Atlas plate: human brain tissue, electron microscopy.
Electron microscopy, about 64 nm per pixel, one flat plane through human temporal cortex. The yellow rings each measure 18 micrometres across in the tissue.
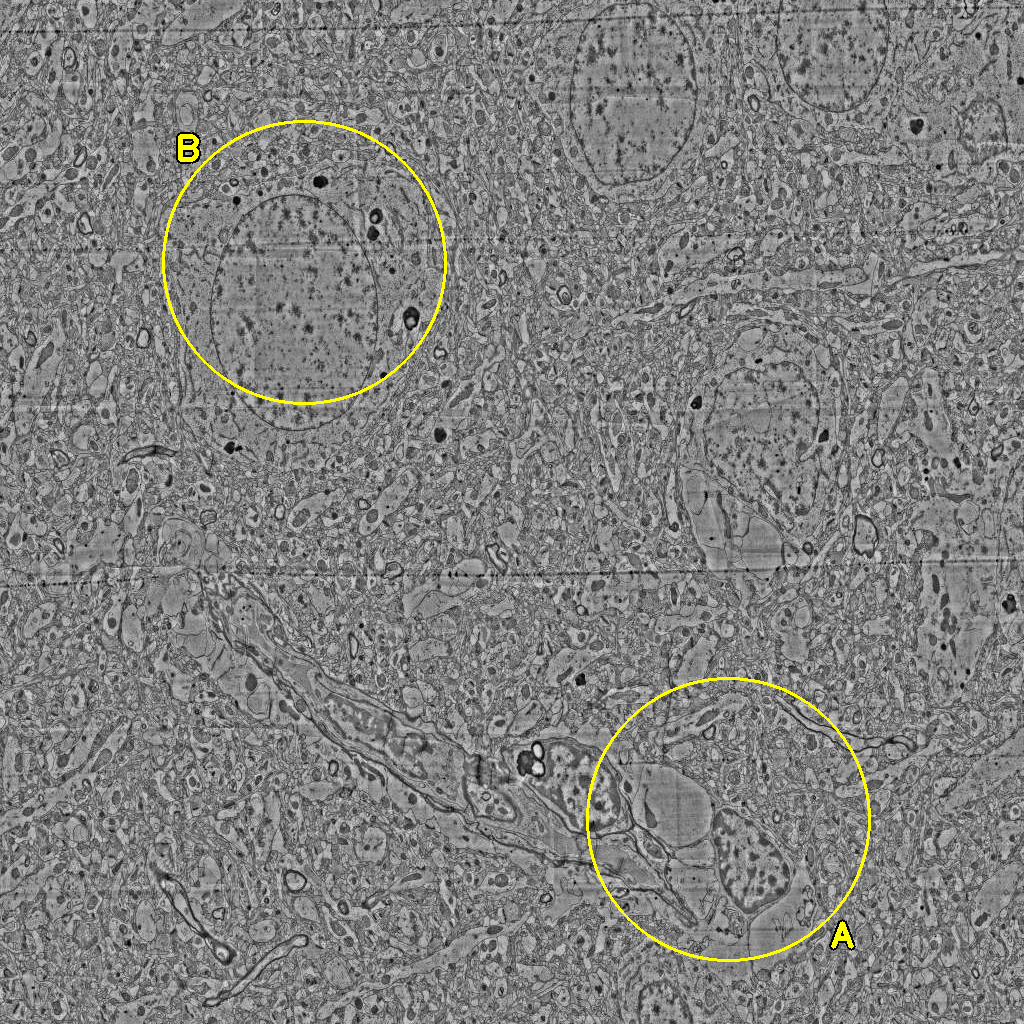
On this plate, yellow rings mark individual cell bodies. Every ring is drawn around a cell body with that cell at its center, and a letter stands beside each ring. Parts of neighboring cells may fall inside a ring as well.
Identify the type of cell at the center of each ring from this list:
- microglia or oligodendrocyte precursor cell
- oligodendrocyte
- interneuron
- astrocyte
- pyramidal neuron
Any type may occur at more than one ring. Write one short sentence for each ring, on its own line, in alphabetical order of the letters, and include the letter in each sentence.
At the center of ring A lies a microglial cell or oligodendrocyte precursor cell.
At the center of ring B lies a pyramidal neuron.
